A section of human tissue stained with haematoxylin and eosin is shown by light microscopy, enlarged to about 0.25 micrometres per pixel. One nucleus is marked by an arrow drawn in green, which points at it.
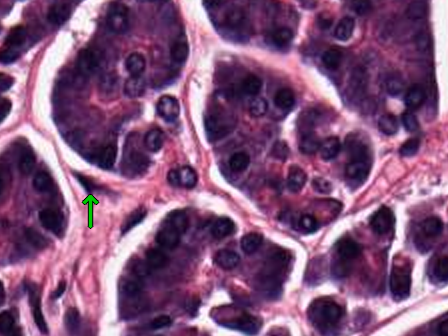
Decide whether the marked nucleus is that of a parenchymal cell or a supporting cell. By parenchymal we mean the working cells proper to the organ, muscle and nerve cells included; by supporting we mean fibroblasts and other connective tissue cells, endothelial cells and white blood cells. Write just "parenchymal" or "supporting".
supporting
